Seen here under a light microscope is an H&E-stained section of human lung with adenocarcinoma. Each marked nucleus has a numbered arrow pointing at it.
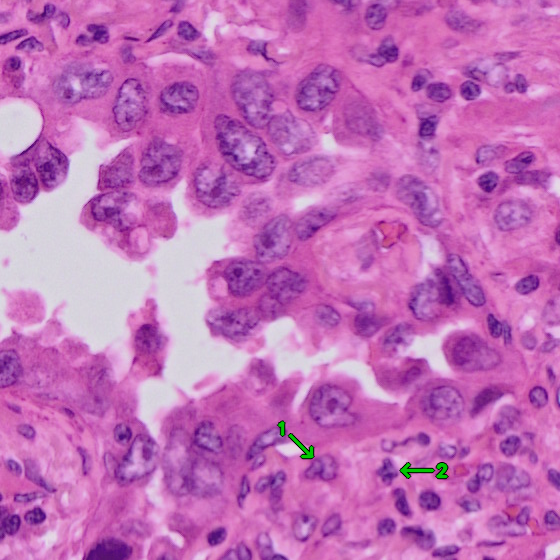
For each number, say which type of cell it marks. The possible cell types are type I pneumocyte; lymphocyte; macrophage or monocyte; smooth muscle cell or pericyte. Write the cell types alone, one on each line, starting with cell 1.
macrophage or monocyte
lymphocyte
